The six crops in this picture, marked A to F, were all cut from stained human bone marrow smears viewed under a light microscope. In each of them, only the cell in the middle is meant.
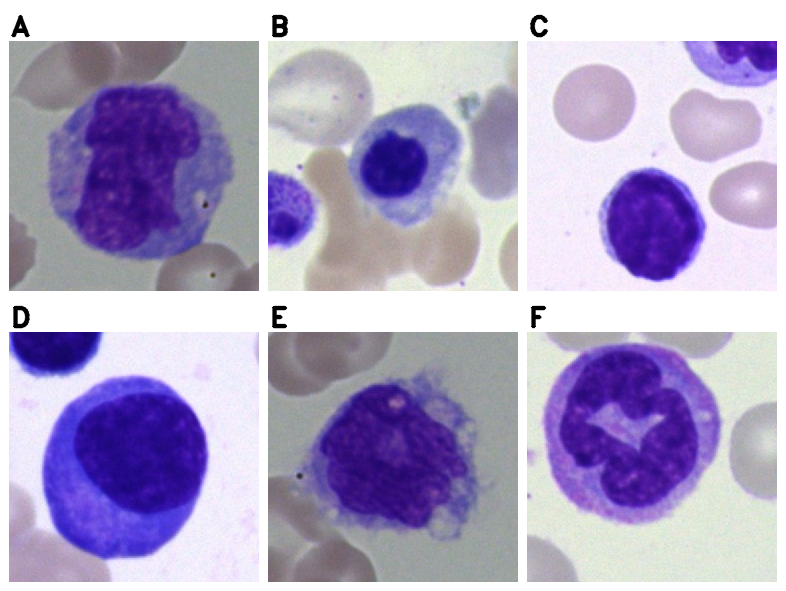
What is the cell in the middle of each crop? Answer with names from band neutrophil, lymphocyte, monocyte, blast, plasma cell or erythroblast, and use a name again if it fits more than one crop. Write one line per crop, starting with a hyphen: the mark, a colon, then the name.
- A: monocyte
- B: erythroblast
- C: lymphocyte
- D: plasma cell
- E: monocyte
- F: monocyte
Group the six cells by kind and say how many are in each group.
monocyte: 3
erythroblast: 1
lymphocyte: 1
plasma cell: 1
